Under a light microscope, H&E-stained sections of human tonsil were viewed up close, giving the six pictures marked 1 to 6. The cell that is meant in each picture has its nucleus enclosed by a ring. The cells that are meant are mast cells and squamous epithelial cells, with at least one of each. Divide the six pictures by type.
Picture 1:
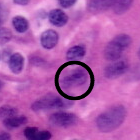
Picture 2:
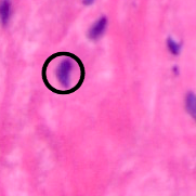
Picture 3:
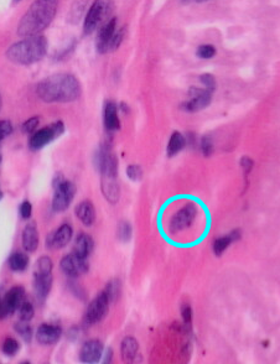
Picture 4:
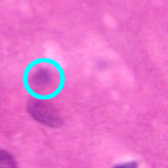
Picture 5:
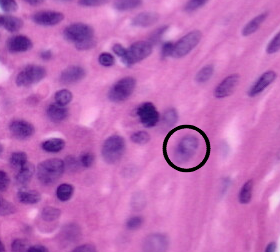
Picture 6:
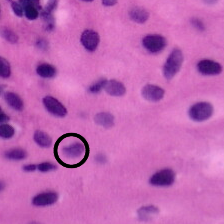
1: squamous epithelial cell
2: mast cell
3: mast cell
4: squamous epithelial cell
5: squamous epithelial cell
6: squamous epithelial cell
